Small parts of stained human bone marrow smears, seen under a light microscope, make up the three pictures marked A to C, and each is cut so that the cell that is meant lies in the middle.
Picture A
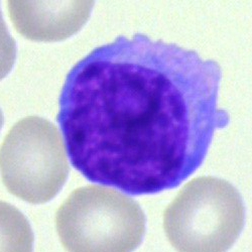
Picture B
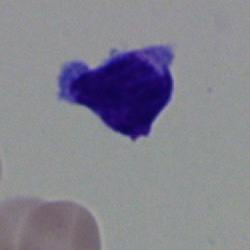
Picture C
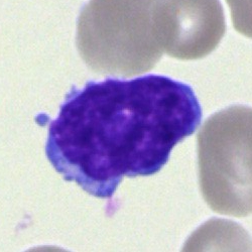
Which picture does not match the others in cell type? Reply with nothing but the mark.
B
